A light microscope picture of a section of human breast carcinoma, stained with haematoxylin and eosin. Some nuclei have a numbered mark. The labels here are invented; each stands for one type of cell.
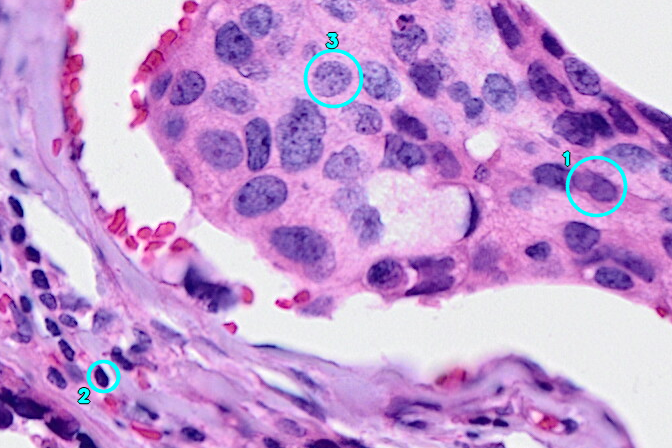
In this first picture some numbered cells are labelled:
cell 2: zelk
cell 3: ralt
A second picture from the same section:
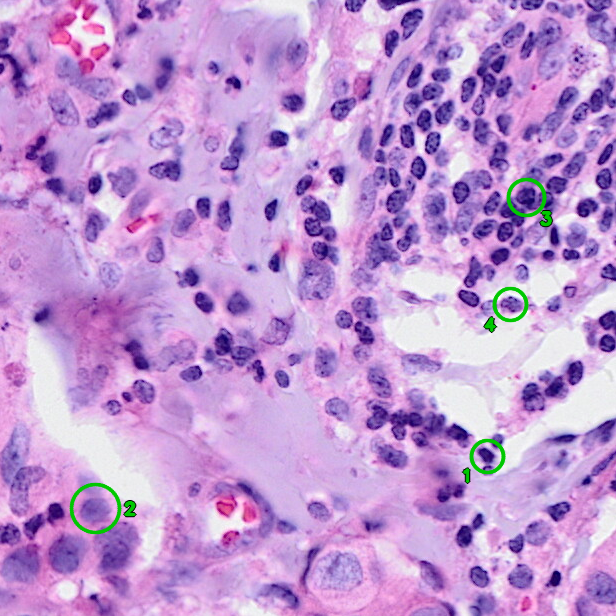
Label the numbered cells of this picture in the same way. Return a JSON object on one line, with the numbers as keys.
{"1": "zelk", "2": "ralt", "3": "zelk", "4": "zelk"}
